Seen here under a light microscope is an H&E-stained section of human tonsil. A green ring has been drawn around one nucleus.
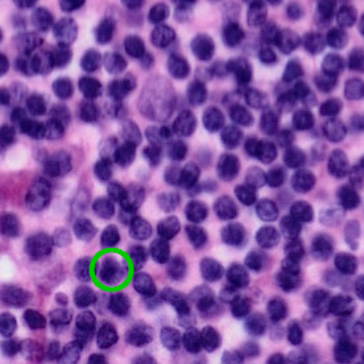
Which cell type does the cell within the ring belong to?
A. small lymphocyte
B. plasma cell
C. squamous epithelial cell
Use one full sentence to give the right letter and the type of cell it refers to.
It is option A that is correct, the cell within the ring being a small lymphocyte.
